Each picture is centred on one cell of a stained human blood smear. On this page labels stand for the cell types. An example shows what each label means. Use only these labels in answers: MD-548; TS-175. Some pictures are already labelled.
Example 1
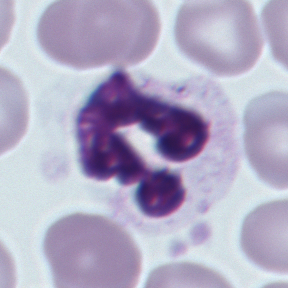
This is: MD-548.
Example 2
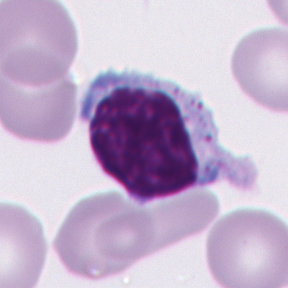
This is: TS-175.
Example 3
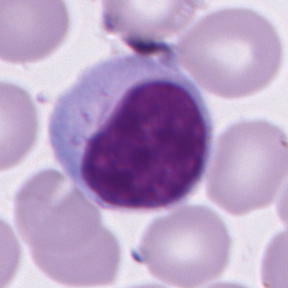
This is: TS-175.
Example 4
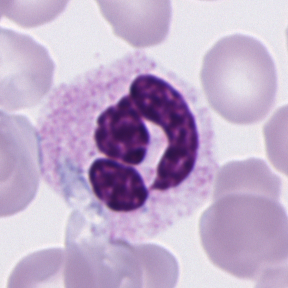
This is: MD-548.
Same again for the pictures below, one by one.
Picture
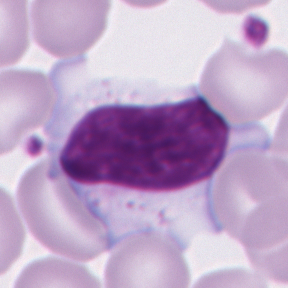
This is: TS-175.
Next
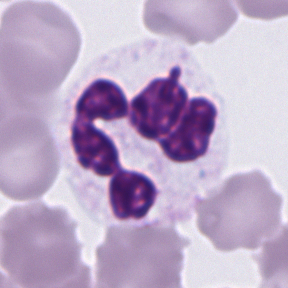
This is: MD-548.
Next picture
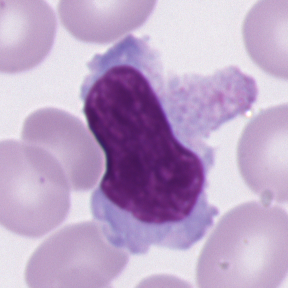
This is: TS-175.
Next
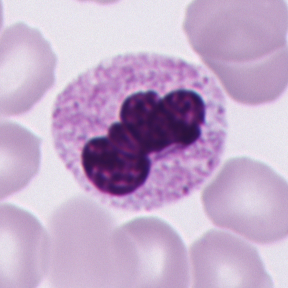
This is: MD-548.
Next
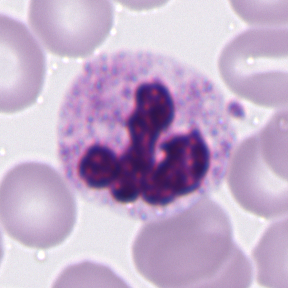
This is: MD-548.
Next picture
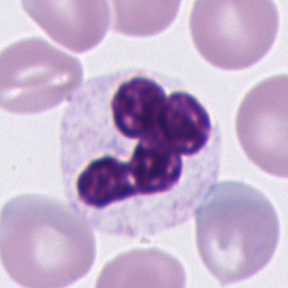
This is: MD-548.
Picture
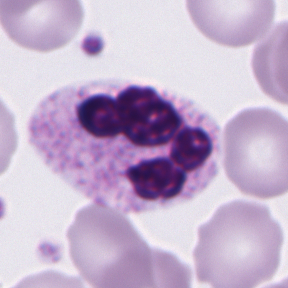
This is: MD-548.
